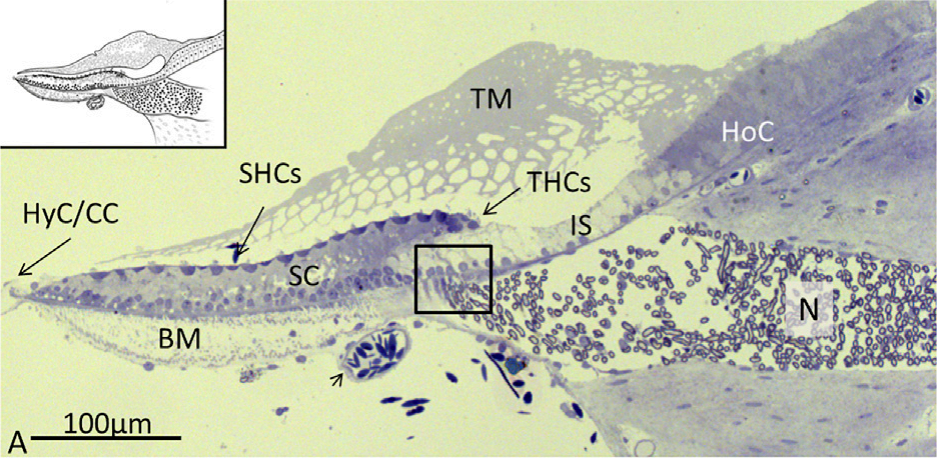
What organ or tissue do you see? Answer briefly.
papilla basilaris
